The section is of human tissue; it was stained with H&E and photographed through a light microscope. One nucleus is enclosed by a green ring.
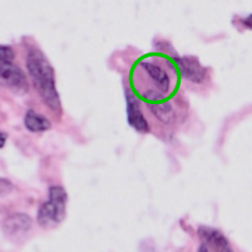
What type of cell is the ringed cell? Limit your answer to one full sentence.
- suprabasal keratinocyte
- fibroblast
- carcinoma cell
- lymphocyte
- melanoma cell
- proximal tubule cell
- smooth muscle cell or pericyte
In this section, the ringed cell is a melanoma cell.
